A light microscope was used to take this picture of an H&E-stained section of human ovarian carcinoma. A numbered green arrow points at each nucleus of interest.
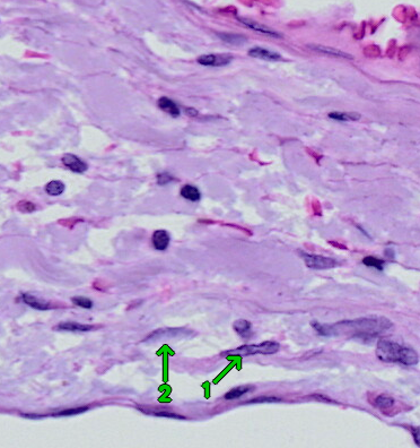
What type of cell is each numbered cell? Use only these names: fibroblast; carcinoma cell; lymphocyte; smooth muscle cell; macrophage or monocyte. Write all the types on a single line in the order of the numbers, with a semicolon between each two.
macrophage or monocyte; fibroblast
